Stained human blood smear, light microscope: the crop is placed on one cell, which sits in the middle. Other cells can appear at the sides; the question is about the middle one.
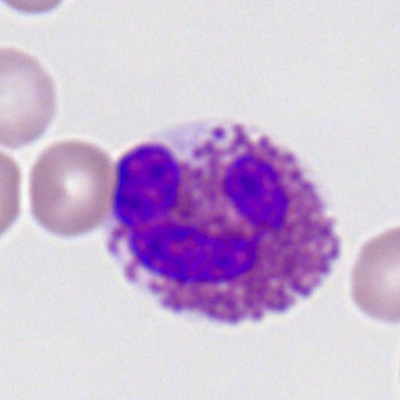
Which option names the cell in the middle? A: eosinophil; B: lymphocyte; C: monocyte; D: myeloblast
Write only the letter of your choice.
A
